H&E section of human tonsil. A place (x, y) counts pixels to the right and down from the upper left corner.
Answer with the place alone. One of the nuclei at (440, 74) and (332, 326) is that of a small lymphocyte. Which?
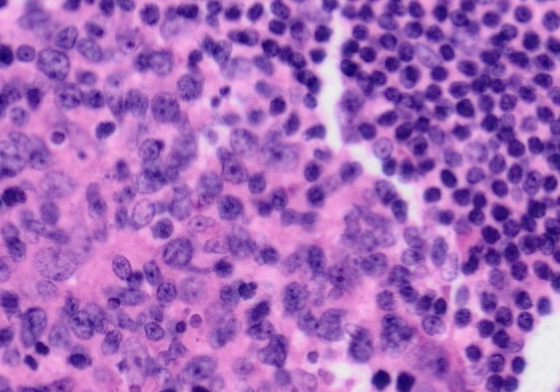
(440, 74)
